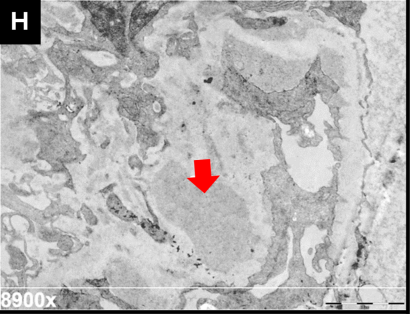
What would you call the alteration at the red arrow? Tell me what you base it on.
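The arrow points at a large, homogeneous, moderately dark mass. The mass lies within matrix between cells rather than along a capillary loop. So: electron-dense mesangial deposits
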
